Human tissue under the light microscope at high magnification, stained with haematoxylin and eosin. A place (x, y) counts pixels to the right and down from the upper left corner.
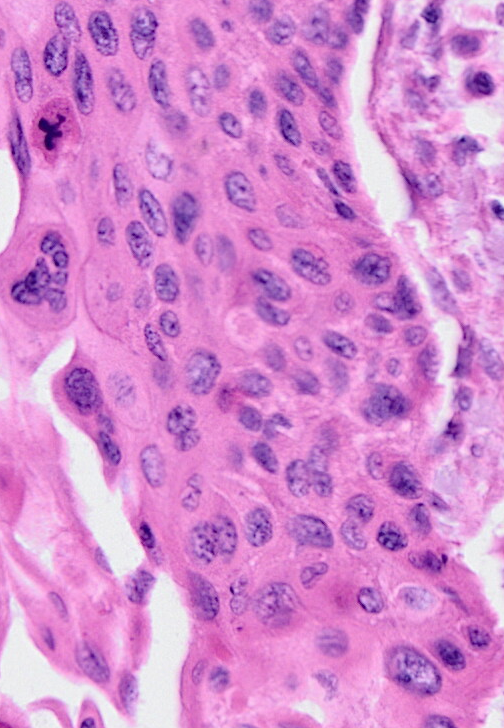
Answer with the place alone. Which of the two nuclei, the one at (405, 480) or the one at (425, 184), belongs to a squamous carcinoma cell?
(405, 480)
